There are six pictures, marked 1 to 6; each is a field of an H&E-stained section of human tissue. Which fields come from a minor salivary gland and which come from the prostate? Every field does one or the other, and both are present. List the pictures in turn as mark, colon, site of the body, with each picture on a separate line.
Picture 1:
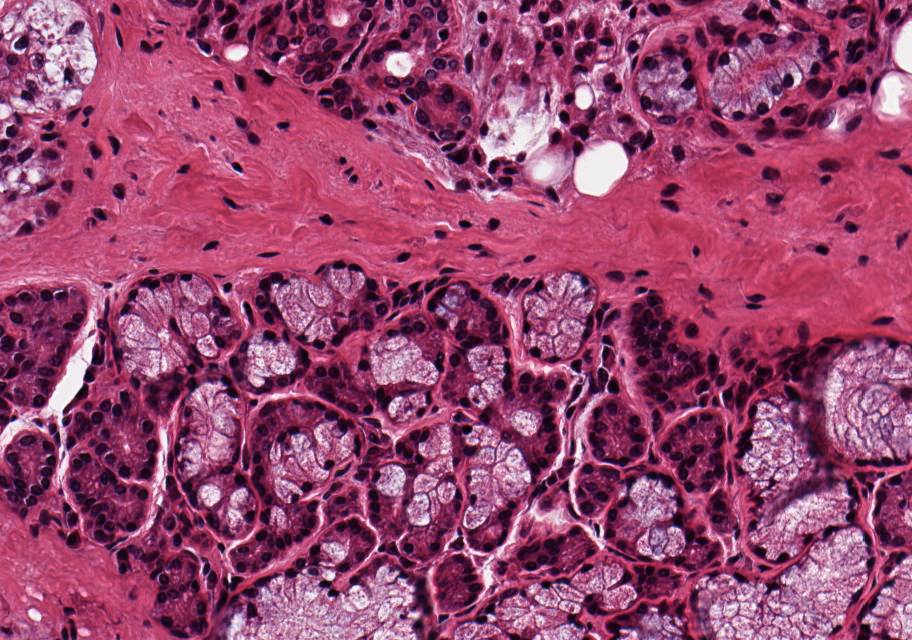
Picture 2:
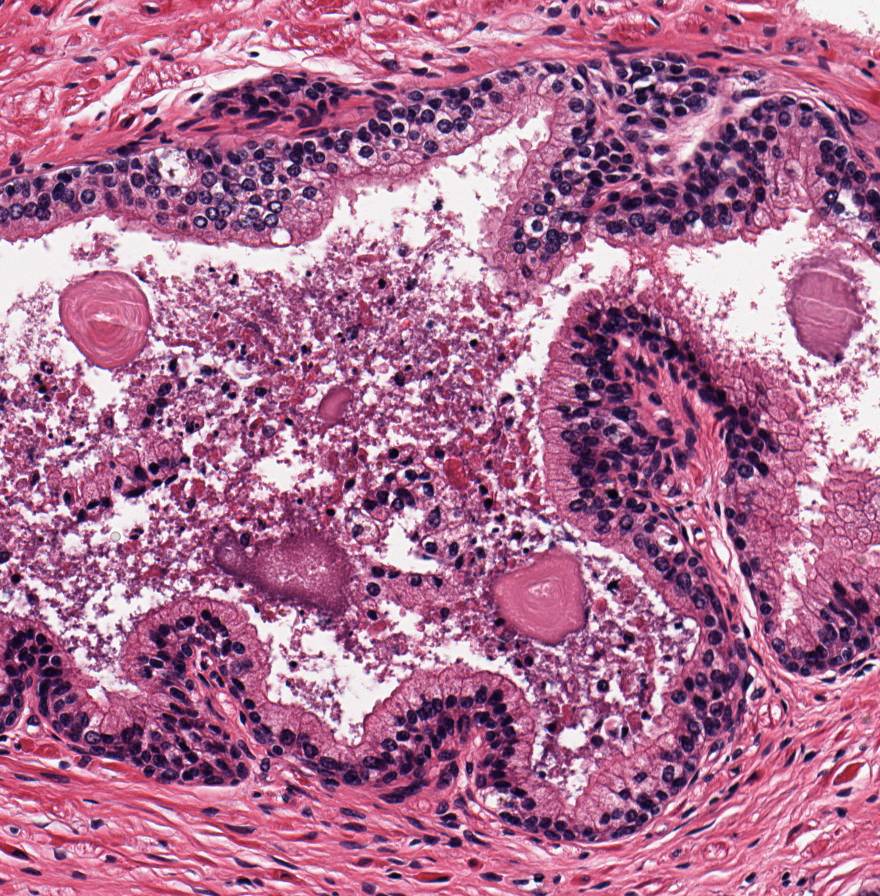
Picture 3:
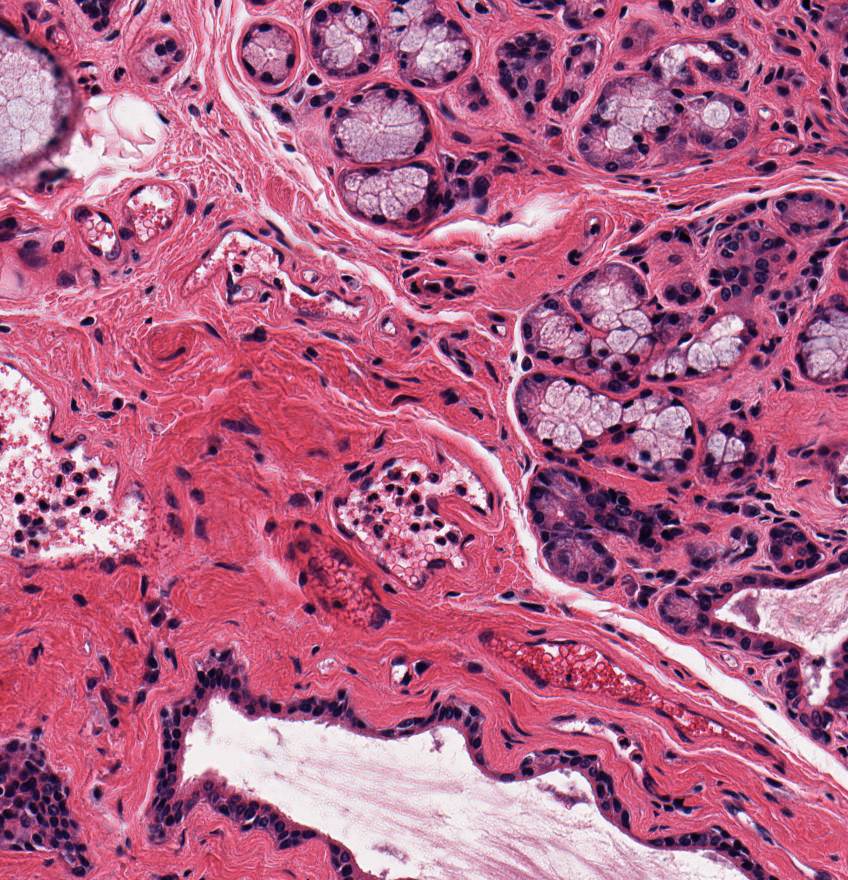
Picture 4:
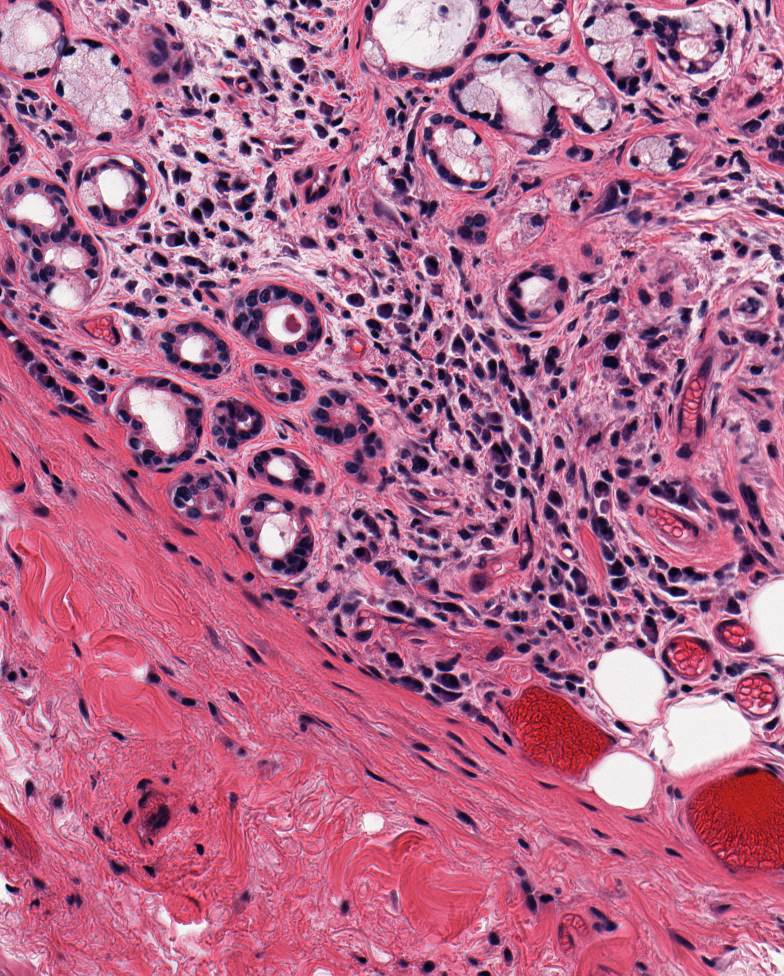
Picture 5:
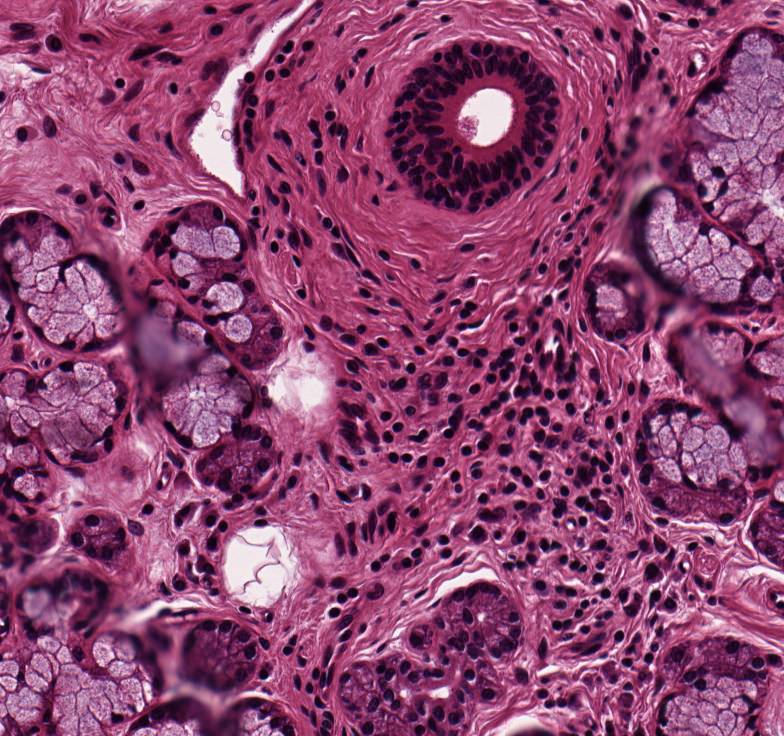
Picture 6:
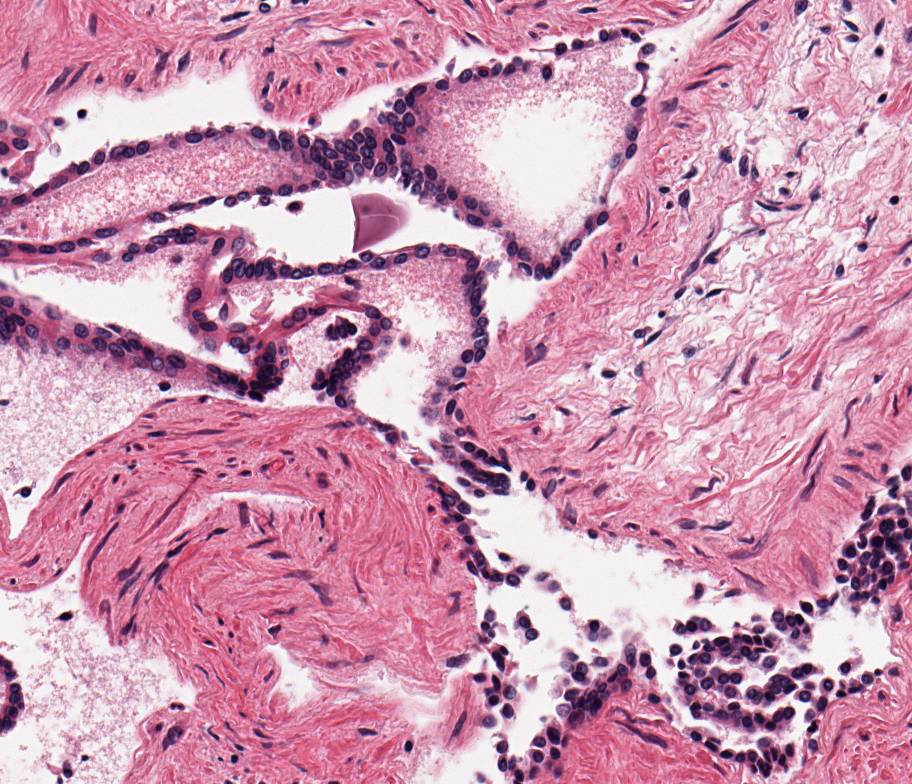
1: minor salivary gland
2: prostate
3: minor salivary gland
4: minor salivary gland
5: minor salivary gland
6: prostate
